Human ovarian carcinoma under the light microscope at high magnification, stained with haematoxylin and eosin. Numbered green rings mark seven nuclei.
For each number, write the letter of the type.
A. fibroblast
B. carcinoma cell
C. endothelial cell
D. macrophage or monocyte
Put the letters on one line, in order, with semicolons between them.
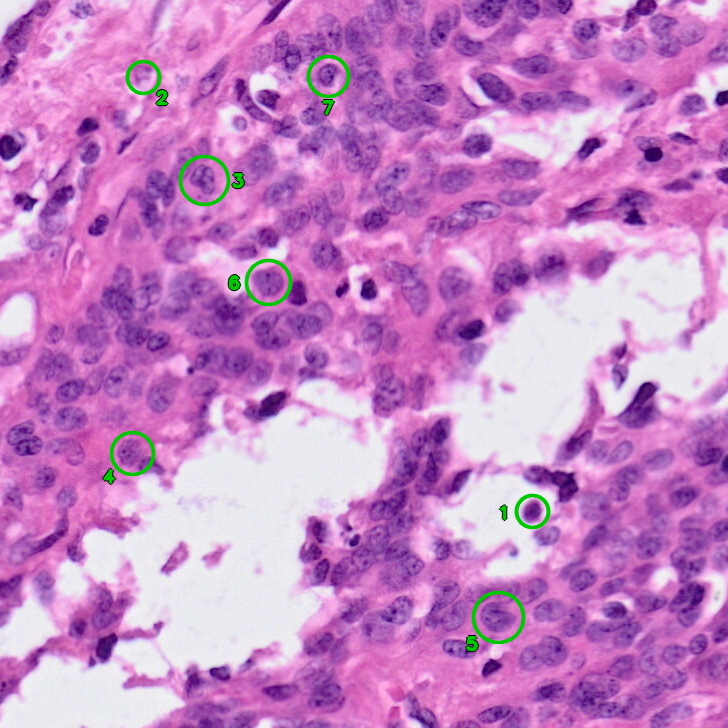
B; A; D; B; B; B; D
